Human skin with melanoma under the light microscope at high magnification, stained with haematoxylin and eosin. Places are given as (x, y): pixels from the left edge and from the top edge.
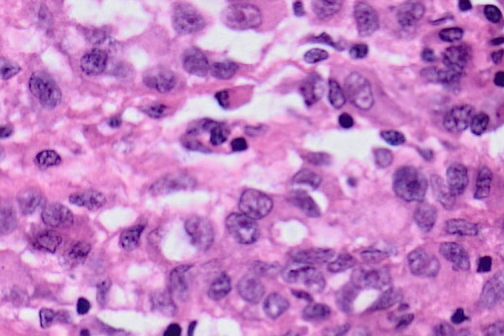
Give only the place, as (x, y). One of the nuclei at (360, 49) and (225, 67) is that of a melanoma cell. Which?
(225, 67)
